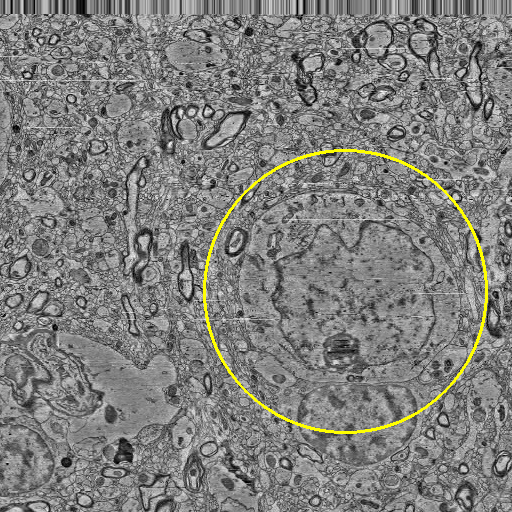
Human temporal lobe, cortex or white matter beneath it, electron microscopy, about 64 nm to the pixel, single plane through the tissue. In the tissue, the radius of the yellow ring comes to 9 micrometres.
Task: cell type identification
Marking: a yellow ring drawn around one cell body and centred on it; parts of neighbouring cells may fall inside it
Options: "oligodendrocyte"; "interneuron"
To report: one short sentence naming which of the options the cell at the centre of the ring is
The cell at the centre of the ring is an interneuron.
